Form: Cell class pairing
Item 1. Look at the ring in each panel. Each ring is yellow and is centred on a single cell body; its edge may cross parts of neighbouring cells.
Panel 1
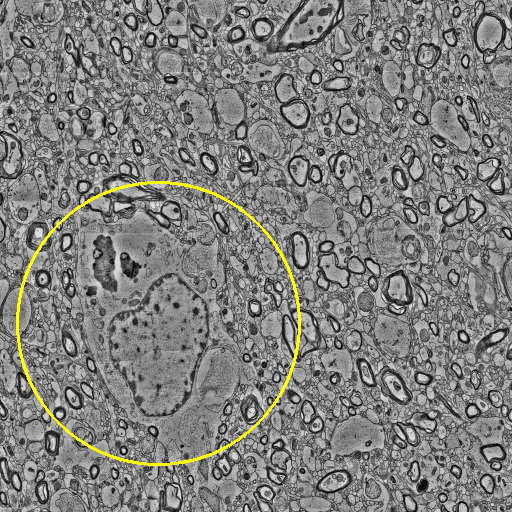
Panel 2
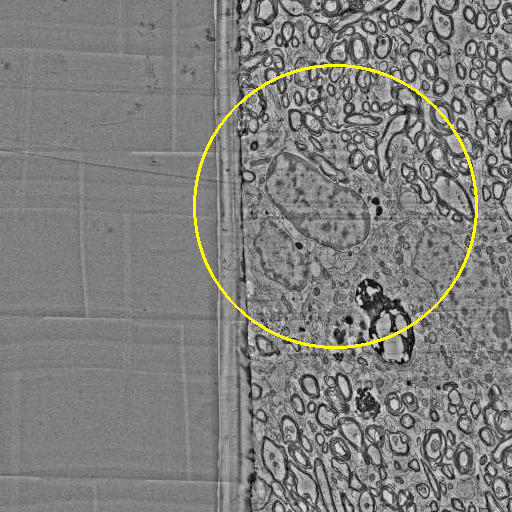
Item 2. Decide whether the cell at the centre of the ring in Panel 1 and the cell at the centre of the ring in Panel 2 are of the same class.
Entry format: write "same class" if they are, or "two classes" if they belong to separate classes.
two classes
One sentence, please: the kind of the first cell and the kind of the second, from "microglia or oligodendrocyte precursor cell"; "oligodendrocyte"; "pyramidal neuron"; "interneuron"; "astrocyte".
The ring in the first picture surrounds an astrocyte, and the ring in the second surrounds a microglial cell or oligodendrocyte precursor cell.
